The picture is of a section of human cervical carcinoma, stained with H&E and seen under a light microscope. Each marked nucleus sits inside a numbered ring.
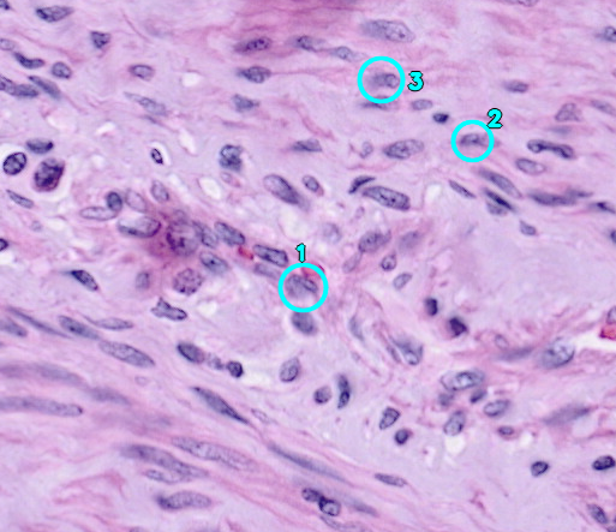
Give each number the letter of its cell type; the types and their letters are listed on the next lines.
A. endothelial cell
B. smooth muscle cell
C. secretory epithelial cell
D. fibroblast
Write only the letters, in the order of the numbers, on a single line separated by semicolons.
A; B; B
